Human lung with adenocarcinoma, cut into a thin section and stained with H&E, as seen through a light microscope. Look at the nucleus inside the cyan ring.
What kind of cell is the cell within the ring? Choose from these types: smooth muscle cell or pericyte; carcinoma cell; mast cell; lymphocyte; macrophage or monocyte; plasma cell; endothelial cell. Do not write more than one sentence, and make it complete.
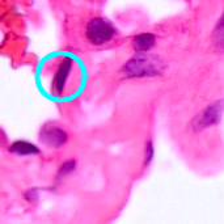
In this field of tissue, the cell within the ring is an endothelial cell.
